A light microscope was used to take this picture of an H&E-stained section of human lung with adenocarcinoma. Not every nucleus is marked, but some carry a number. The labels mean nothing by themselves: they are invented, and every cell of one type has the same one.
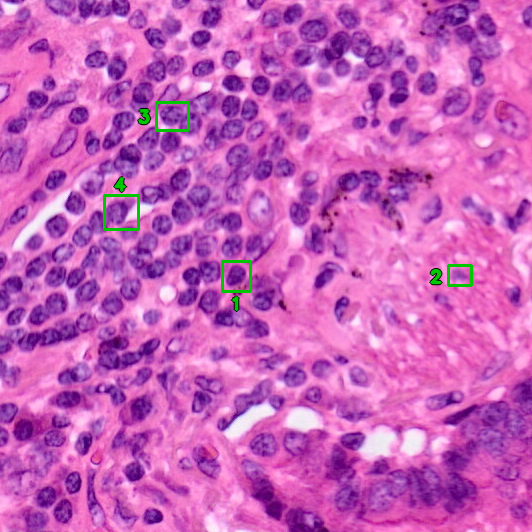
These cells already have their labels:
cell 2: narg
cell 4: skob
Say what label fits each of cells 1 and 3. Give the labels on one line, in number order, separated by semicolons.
skob; skob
